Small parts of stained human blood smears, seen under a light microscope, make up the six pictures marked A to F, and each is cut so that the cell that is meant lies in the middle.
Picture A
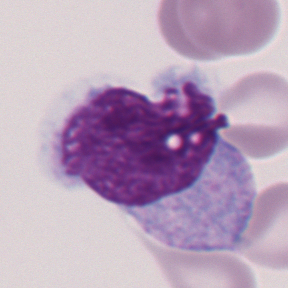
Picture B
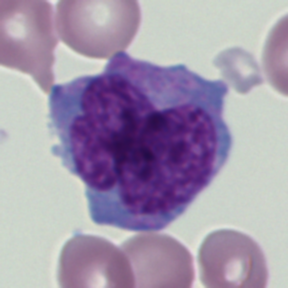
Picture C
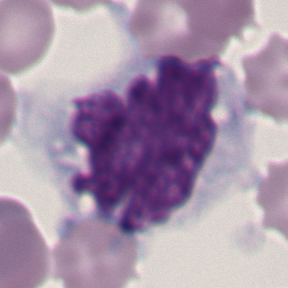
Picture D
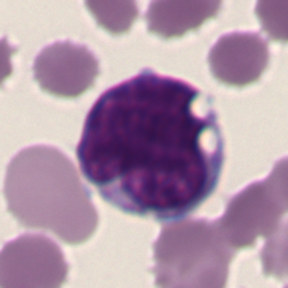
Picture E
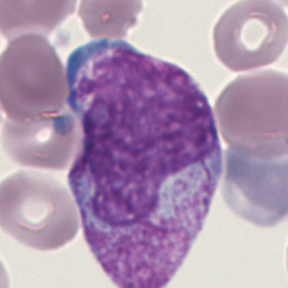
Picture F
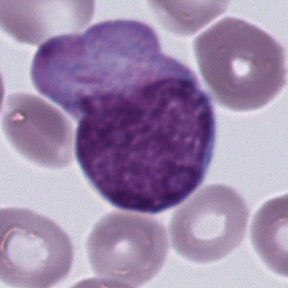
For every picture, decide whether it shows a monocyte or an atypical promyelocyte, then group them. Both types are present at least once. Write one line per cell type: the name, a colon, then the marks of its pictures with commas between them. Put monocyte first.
monocyte: A, C, D
atypical promyelocyte: B, E, F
